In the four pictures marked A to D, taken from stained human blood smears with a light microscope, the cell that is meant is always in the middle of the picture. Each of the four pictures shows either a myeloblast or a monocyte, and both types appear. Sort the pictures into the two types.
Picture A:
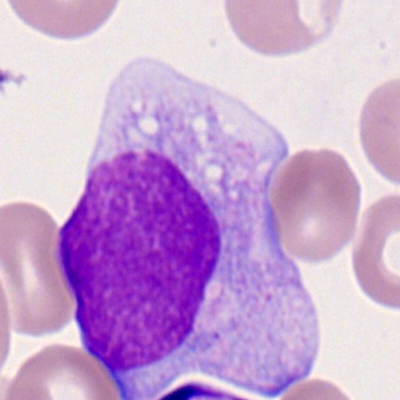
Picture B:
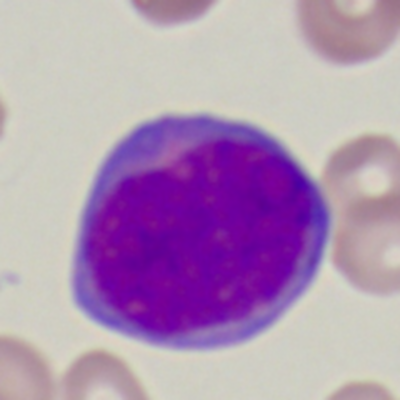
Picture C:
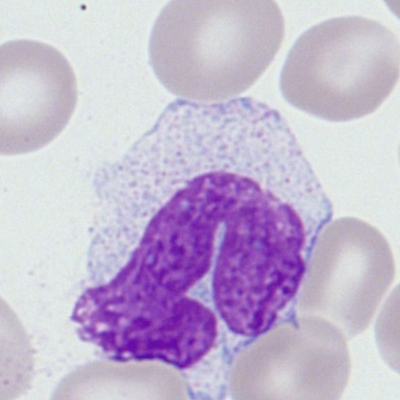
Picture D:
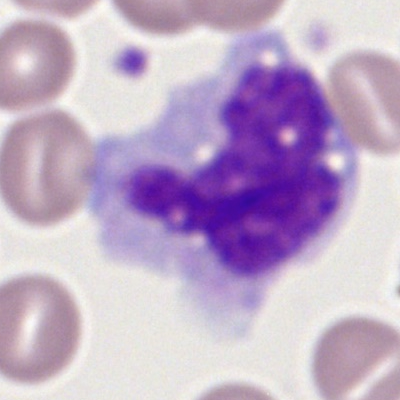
A: monocyte
B: myeloblast
C: monocyte
D: monocyte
